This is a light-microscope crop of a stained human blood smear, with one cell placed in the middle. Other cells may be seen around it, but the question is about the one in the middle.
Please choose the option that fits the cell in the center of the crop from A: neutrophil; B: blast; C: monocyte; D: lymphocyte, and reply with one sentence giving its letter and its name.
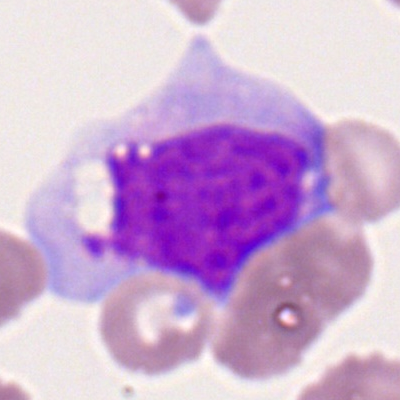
In this crop the middle cell is a monocyte, so option C is the correct answer.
